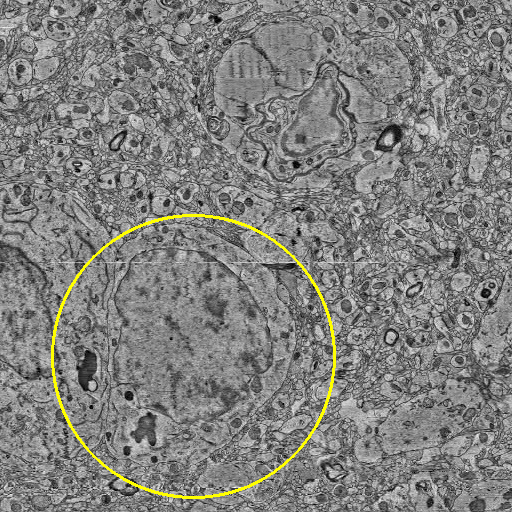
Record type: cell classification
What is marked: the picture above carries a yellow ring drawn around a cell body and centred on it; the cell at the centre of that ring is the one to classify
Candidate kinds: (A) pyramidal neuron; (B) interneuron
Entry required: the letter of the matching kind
B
